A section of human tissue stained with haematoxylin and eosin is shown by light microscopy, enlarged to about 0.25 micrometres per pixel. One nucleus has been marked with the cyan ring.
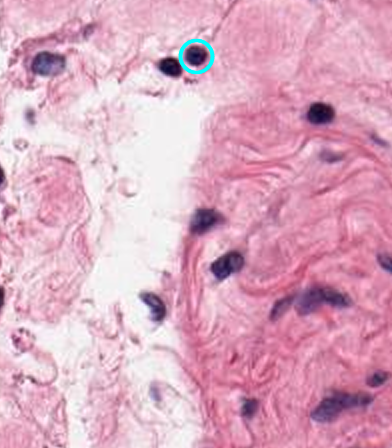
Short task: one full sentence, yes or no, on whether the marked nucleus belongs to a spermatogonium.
No, not to a spermatogonium does the marked nucleus belong, but to a supporting cell.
